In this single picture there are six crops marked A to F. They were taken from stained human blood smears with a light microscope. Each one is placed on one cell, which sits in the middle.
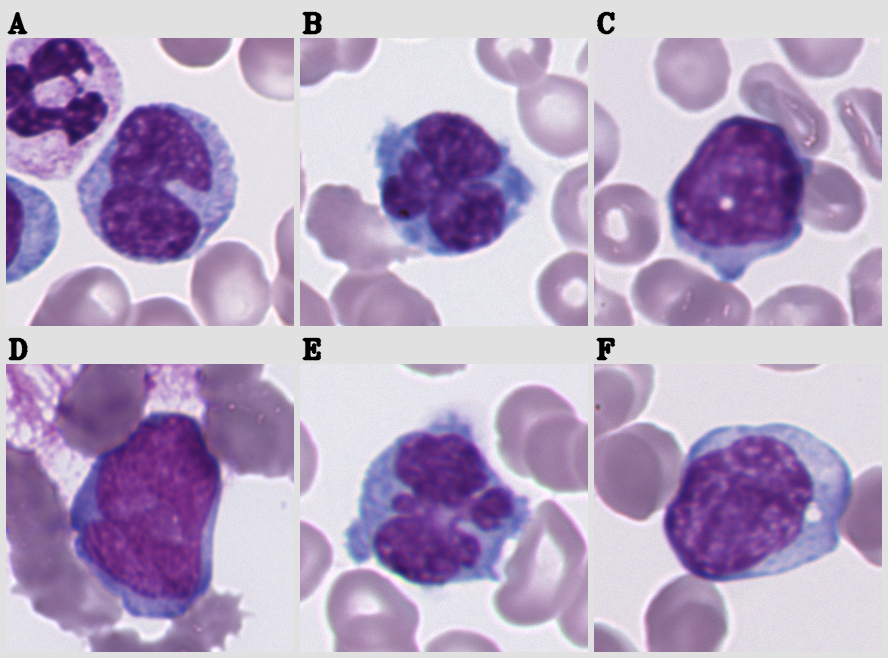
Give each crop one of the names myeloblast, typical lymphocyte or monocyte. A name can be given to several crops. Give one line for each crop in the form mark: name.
A: monocyte
B: monocyte
C: myeloblast
D: myeloblast
E: monocyte
F: myeloblast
